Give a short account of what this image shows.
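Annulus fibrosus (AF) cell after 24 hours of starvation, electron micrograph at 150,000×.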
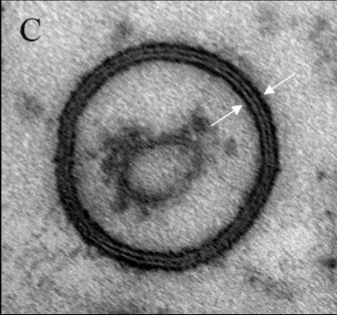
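A single autophagosome is seen at high magnification as a round vesicle whose wall is made of two parallel dark membranes running all the way round. Inside lies a light matrix with an irregular ring of electron-dense material at its centre.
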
